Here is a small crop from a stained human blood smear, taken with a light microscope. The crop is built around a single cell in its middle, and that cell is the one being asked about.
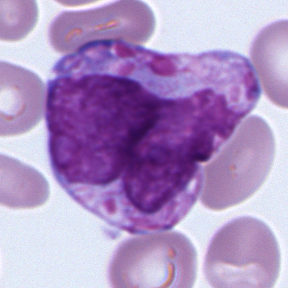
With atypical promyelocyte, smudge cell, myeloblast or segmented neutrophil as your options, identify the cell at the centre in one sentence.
Classified as an atypical promyelocyte is the cell in the middle of this crop.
